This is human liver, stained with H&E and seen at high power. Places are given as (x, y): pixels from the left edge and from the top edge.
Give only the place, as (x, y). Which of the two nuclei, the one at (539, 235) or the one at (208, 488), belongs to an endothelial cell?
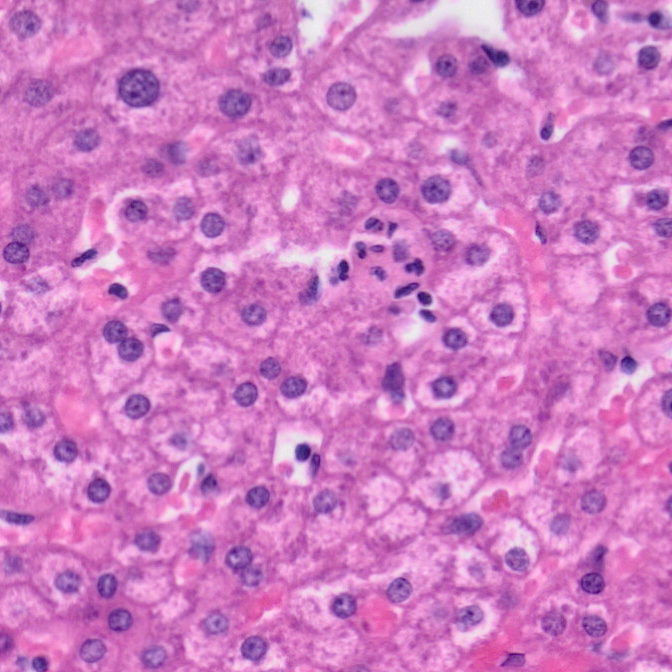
(539, 235)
